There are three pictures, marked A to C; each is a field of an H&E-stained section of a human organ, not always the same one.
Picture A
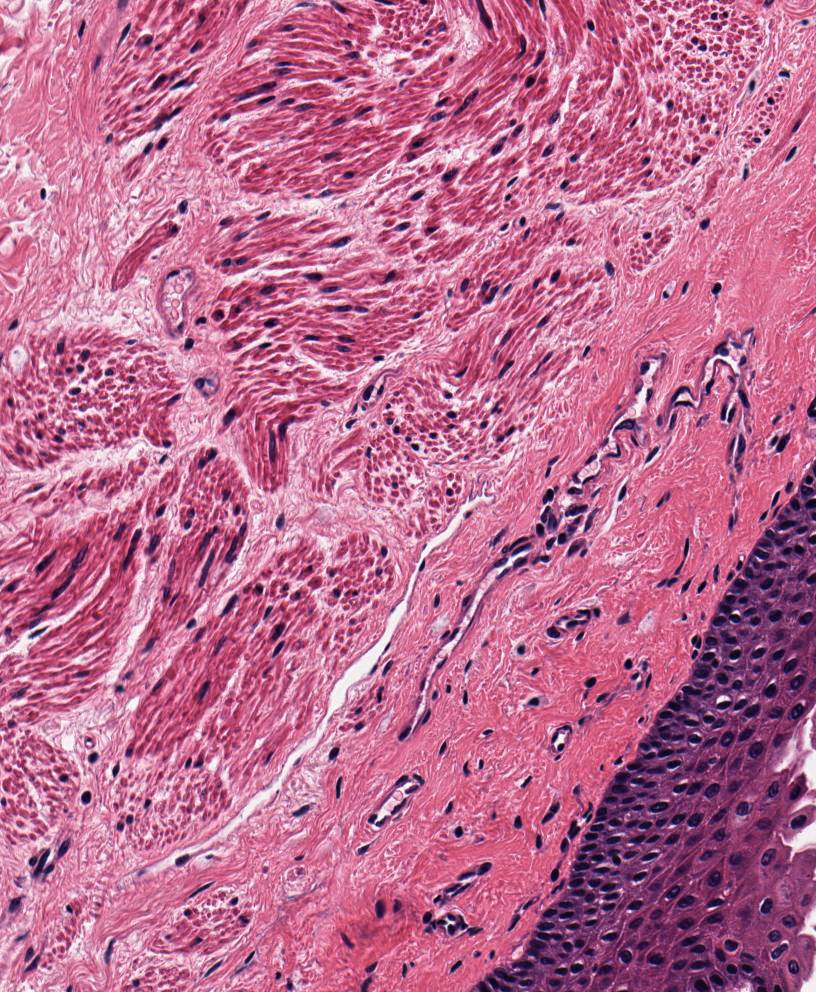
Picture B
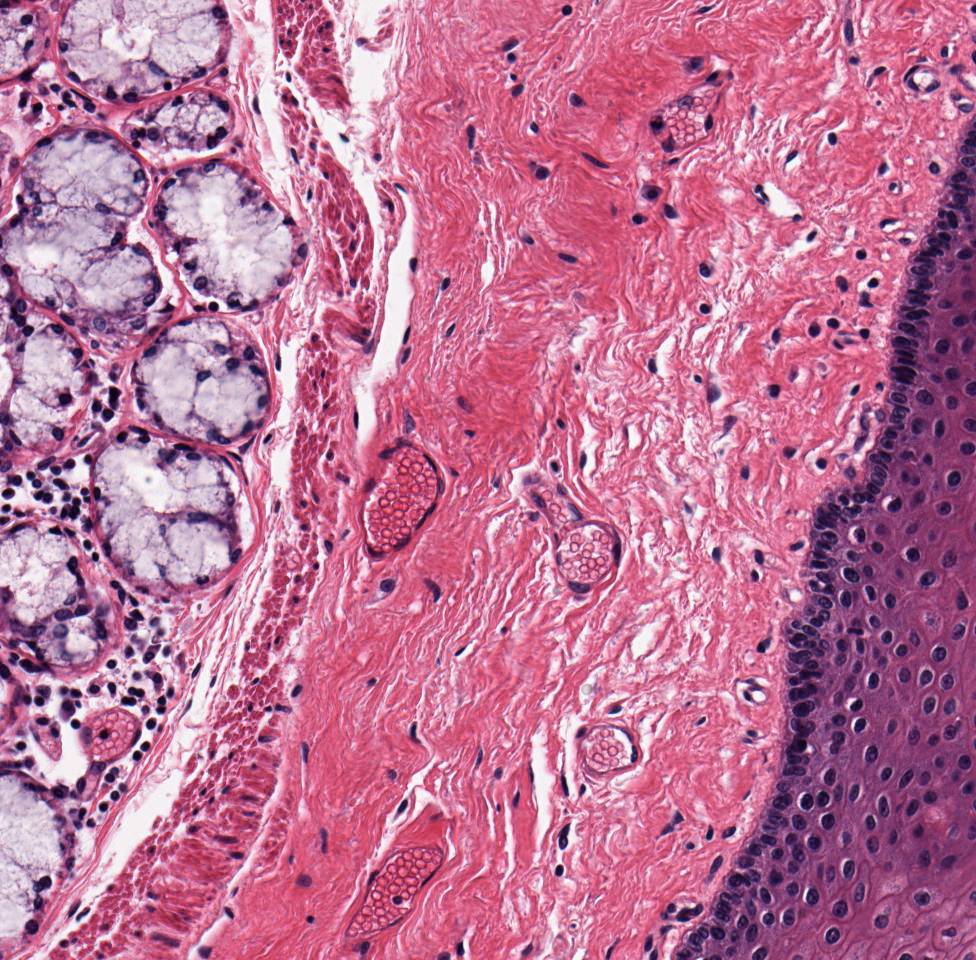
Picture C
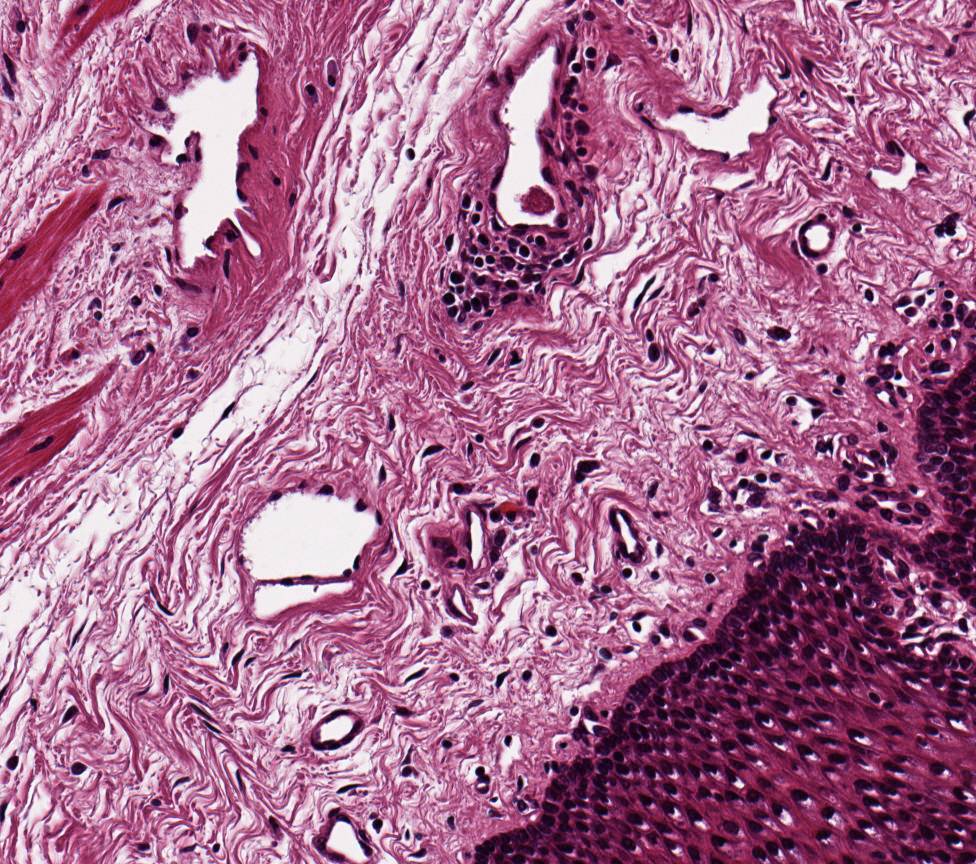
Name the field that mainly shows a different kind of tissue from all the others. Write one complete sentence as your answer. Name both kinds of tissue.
Picture A is the odd one out: it mainly shows smooth muscle, while the others mainly show loose connective tissue.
